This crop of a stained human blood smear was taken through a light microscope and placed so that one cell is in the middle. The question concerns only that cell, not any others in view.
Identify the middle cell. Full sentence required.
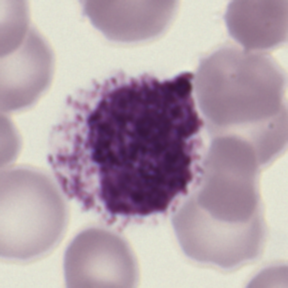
The cell the crop is centered on is a band neutrophil.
